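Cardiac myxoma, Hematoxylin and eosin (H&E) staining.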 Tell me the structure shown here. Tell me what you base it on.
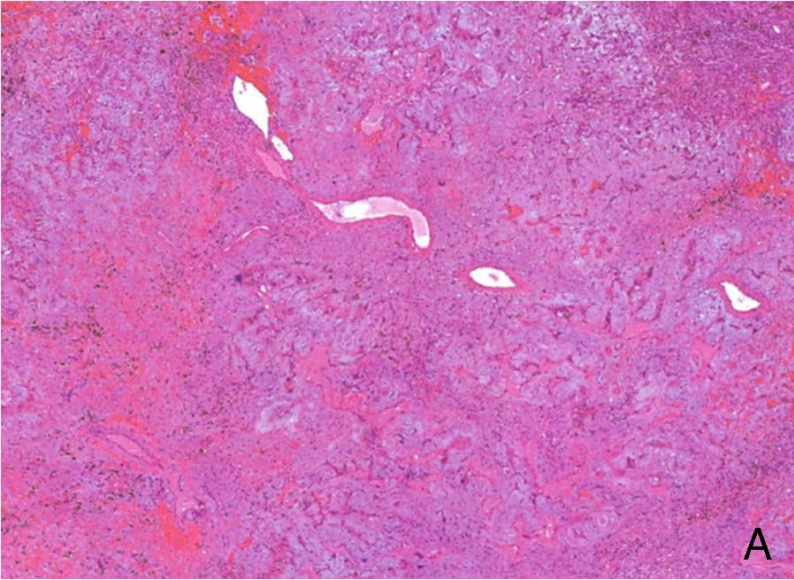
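Several open, empty-looking vessel lumens run across the middle of the field. The lumens are embedded in a pale bluish-pink loose matrix. That points to this answer: prominent vasculature.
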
